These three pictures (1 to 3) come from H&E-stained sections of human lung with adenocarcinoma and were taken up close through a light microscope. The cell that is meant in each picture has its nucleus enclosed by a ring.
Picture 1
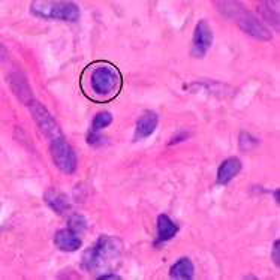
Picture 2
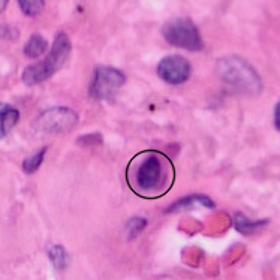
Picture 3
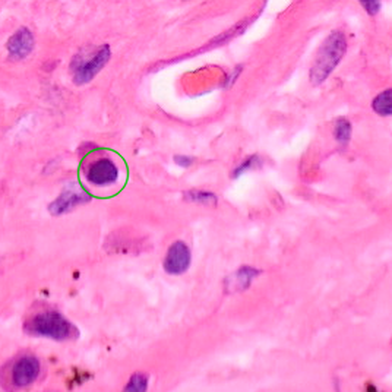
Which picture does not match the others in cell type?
1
